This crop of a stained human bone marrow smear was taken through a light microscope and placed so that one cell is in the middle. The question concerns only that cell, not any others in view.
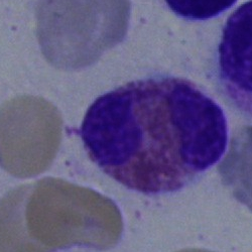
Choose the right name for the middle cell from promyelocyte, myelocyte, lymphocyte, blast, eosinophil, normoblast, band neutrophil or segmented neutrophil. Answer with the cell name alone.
eosinophil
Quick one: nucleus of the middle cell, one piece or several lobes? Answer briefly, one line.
This cell has a nucleus made up of two or more segments.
